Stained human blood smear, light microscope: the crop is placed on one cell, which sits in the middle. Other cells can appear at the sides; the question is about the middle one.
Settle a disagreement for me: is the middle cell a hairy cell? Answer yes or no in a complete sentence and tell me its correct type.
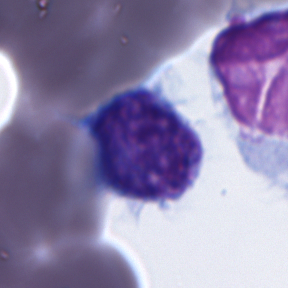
Yes, a hairy cell is present in the middle of the crop.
